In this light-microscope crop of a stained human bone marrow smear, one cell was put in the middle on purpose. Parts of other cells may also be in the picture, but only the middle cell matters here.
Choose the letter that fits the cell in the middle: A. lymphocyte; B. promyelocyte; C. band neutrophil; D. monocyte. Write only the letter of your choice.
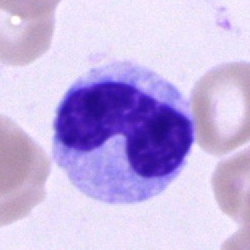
C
